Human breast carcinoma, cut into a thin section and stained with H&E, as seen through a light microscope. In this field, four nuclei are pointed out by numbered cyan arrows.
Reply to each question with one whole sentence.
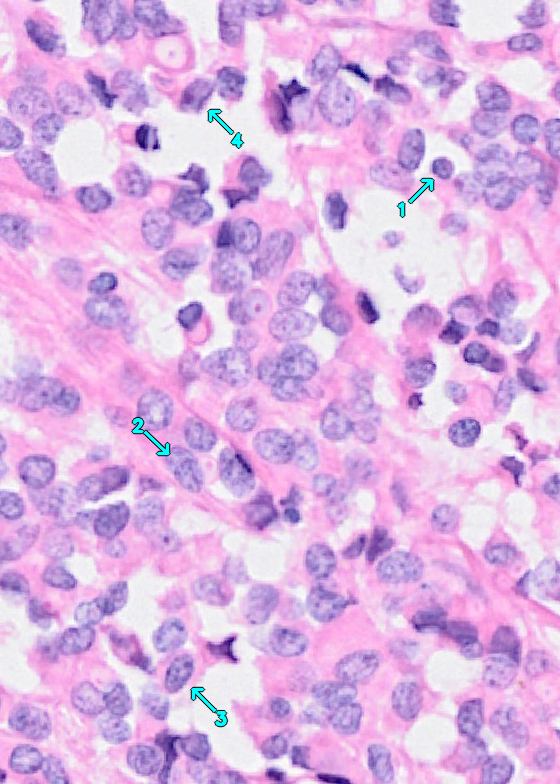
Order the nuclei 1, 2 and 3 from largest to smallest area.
The nuclei rank 2, 3, 1, from largest to smallest.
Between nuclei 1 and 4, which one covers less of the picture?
Nucleus 1 is the smaller one; nucleus 4 covers about 2 times its area.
